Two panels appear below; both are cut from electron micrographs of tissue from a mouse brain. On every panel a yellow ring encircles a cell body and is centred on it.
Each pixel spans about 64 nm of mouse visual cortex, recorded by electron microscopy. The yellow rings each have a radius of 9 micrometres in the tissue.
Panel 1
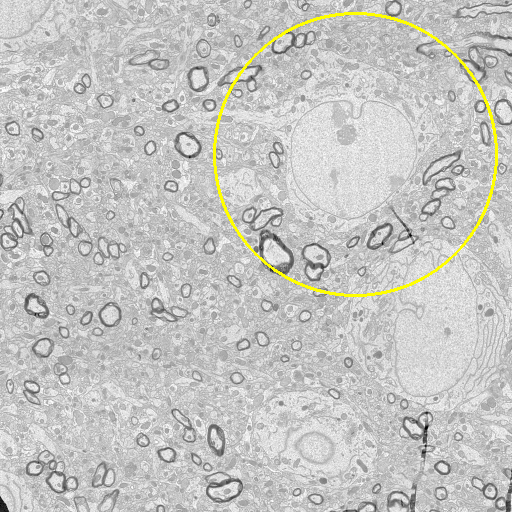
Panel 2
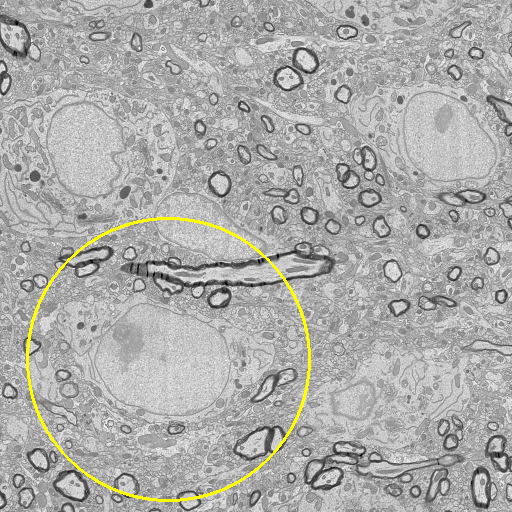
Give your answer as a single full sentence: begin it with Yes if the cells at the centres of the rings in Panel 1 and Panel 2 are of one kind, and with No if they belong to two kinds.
Yes, the cells in the middle of the rings in Panels 1 and 2 are of one kind.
